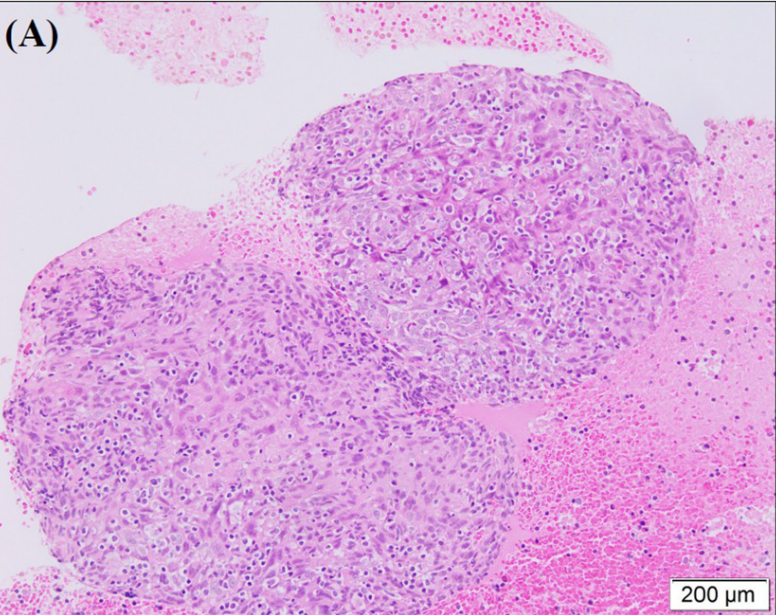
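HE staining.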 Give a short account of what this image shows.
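Tumor cells form large rounded nests with smooth borders, set against a background of red blood cells. The tumor cells have pale pink cytoplasm and round to oval nuclei. Small cells with dark round nuclei, lymphocytes, are scattered among the tumor cells and crowd parts of the nest borders.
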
